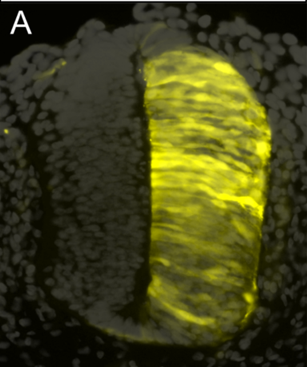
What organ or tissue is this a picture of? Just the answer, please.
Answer: Neural tube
